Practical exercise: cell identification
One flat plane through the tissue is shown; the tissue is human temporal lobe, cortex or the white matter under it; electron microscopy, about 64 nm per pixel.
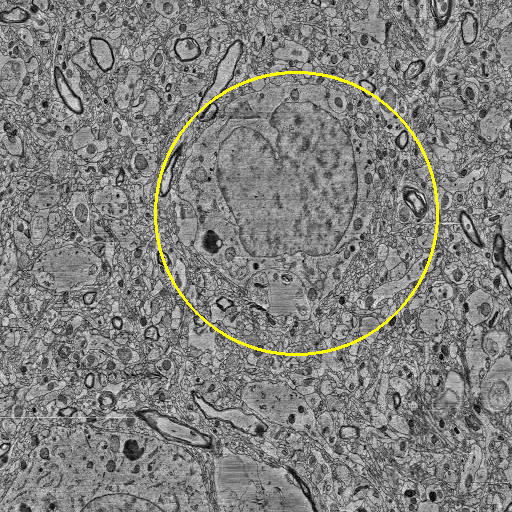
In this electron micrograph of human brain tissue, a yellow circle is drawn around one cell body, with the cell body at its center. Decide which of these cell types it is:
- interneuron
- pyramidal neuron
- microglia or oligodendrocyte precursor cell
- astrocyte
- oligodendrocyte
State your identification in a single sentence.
The ringed cell is an interneuron.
